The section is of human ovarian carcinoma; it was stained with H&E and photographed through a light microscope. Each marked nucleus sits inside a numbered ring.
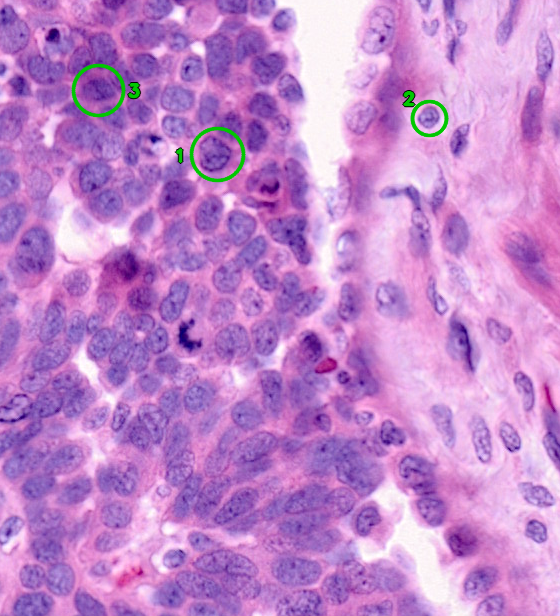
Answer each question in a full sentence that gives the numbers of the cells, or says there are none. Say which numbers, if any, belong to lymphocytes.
Of the numbered nuclei, only the one labelled 2 belongs to a lymphocyte.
